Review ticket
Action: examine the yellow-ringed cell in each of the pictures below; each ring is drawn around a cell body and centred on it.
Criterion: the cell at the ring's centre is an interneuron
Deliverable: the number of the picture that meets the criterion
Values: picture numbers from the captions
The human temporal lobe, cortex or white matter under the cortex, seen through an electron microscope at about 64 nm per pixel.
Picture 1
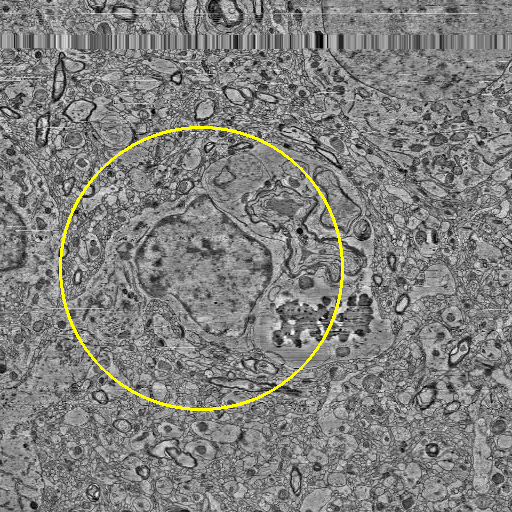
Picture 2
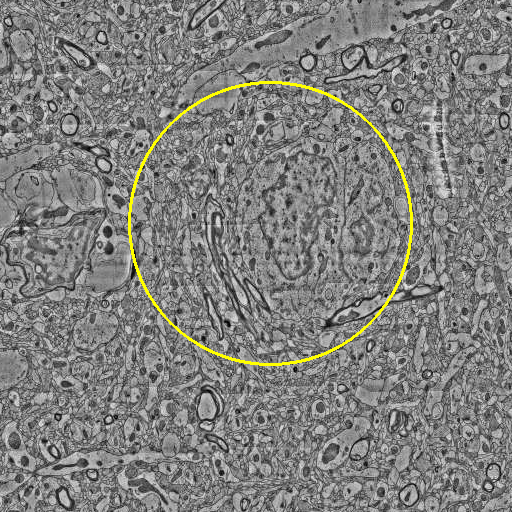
2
